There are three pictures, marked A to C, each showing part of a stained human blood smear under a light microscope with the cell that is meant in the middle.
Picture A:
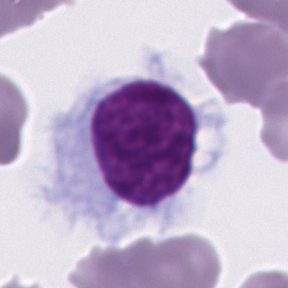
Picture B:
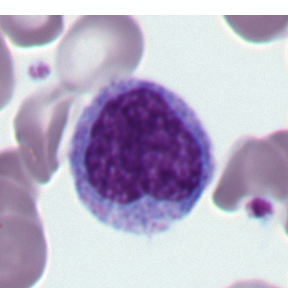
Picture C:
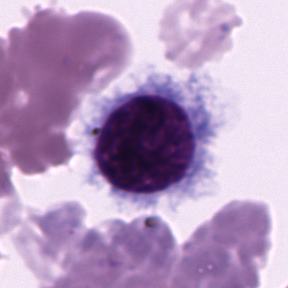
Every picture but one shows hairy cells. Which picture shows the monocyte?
B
